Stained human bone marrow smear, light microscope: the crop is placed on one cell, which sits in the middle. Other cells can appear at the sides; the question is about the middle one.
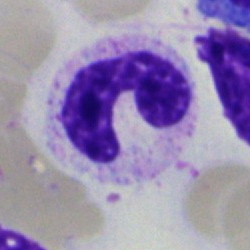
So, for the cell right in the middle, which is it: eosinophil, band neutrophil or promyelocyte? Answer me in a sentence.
For this crop, the cell in the middle is a band neutrophil.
